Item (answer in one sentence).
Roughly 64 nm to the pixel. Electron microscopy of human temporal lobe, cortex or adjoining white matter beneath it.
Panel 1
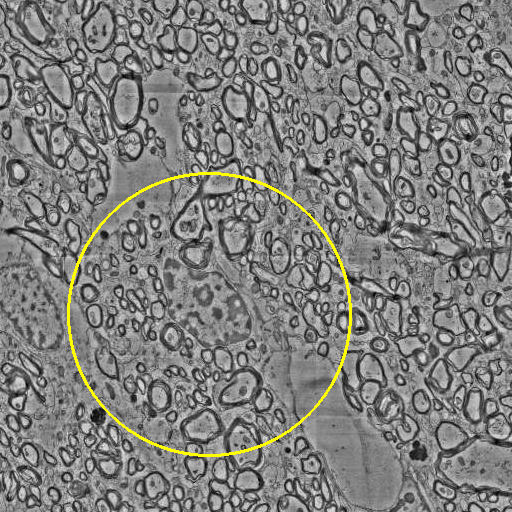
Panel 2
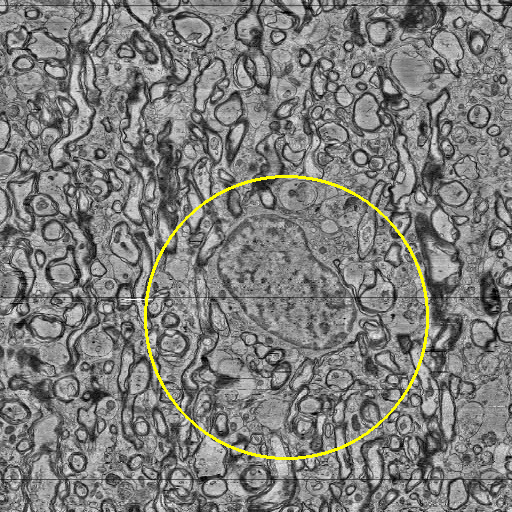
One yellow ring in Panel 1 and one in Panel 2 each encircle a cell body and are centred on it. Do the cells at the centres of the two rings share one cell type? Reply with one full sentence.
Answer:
No, Panel 1 and Panel 2 show cells of two types at the centres of their rings.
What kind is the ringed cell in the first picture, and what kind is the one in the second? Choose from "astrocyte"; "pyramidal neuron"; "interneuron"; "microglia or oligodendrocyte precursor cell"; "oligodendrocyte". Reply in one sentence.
The first cell is a microglial cell or oligodendrocyte precursor cell; the second is an oligodendrocyte.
